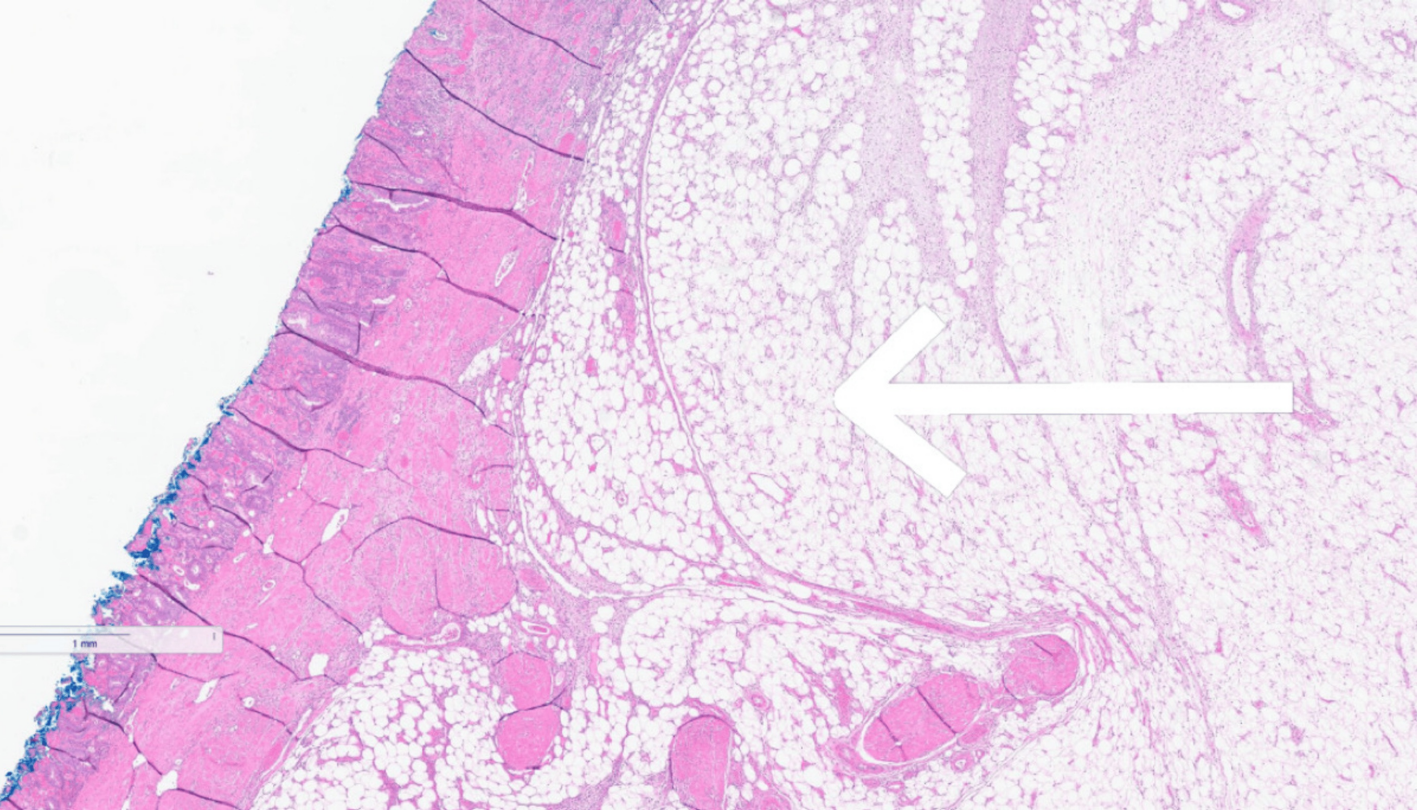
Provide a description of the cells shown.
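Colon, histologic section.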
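Beneath a continuous pink band of bowel wall, whose surface at the left edge carries glands, lies a large mass of mature fat cells. Thin fibrous septa with small vessels divide the fat into lobules, and the mass has a sharp boundary against the neighbouring wall and the bundles of pink smooth muscle below.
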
